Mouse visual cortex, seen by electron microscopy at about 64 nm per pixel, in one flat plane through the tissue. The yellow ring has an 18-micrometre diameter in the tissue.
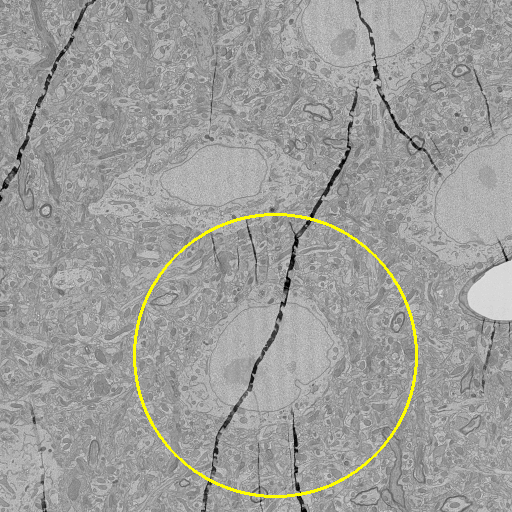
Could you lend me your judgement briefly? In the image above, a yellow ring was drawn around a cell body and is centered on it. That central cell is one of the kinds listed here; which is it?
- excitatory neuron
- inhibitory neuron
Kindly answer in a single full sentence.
Going by the list, an excitatory neuron is the kind at the ring's center in the picture.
